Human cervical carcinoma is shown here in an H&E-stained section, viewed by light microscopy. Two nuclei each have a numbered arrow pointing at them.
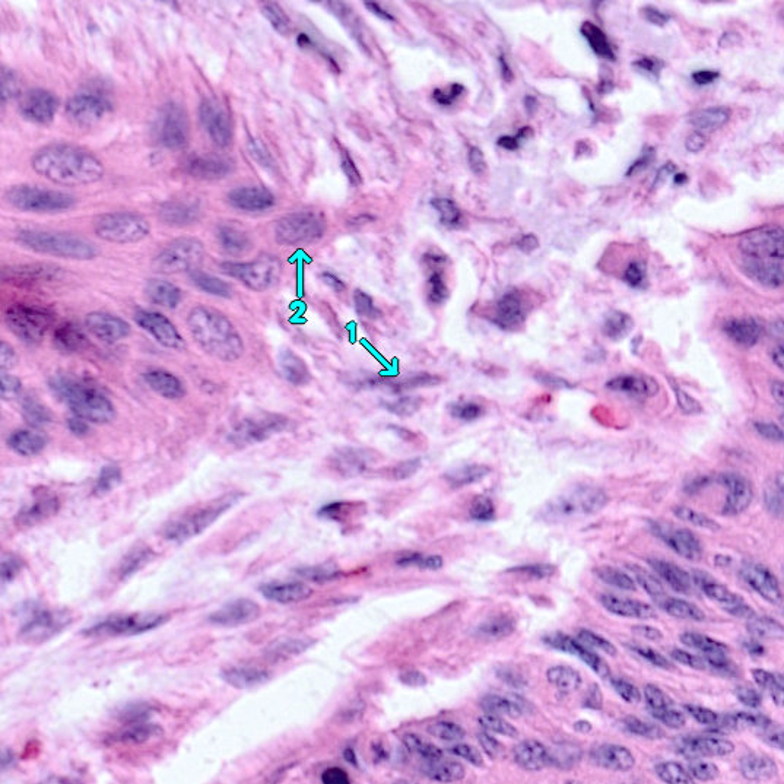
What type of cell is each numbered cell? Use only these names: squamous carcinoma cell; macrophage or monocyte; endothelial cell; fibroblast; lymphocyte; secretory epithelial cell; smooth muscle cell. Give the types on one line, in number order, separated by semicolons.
fibroblast; squamous carcinoma cell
